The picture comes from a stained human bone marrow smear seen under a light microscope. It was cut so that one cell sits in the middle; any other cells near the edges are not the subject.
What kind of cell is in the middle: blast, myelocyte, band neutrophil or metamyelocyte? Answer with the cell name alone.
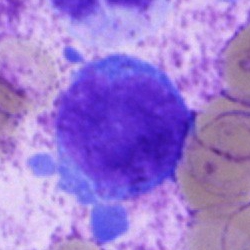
blast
